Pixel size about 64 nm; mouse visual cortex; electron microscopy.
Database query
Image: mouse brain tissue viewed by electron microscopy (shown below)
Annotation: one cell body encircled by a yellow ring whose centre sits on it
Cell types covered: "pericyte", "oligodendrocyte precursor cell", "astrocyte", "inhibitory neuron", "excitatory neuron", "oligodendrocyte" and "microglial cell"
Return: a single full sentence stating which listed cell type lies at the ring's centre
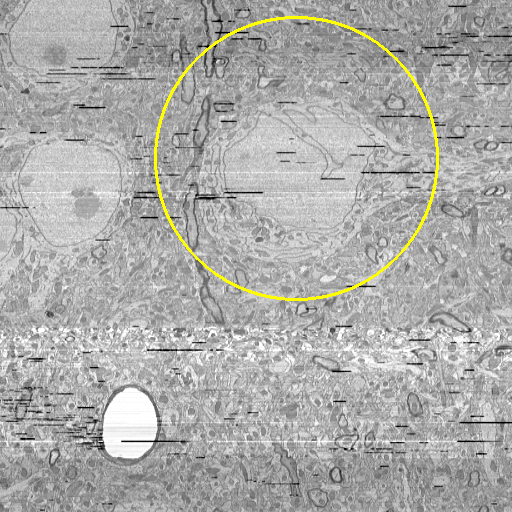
In the image, the cell lying at the ring's centre is an inhibitory neuron.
